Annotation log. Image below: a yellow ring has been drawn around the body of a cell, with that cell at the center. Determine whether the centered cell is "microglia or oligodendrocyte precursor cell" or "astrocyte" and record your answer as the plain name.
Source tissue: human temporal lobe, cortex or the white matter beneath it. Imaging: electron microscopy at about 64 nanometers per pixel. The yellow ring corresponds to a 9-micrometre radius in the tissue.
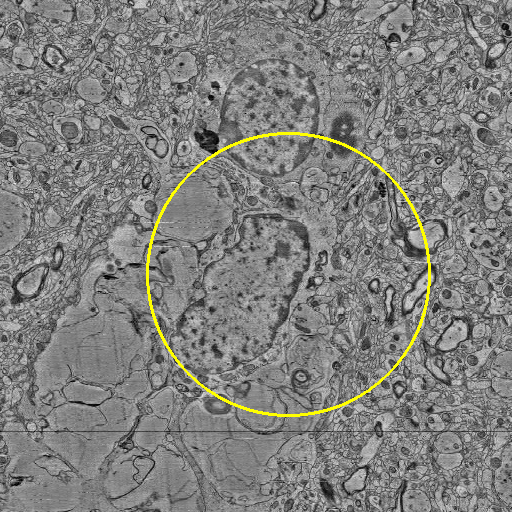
microglia or oligodendrocyte precursor cell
